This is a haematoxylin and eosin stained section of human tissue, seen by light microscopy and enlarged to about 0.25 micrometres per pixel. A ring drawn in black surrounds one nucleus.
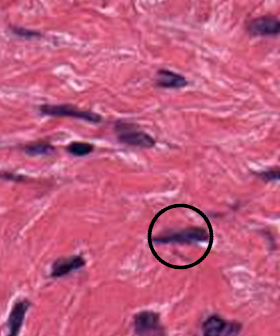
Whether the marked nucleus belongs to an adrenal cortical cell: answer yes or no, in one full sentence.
No, rather than an adrenal cortical cell, it is a supporting cell that contains the marked nucleus.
